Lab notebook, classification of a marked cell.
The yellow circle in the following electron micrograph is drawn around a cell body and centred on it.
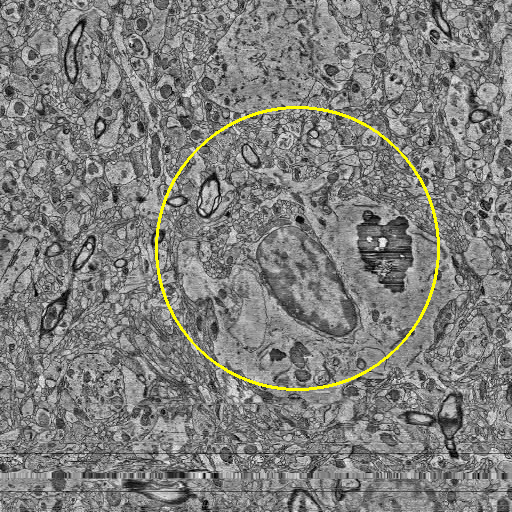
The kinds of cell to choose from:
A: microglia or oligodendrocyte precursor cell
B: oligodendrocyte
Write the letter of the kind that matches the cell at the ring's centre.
A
